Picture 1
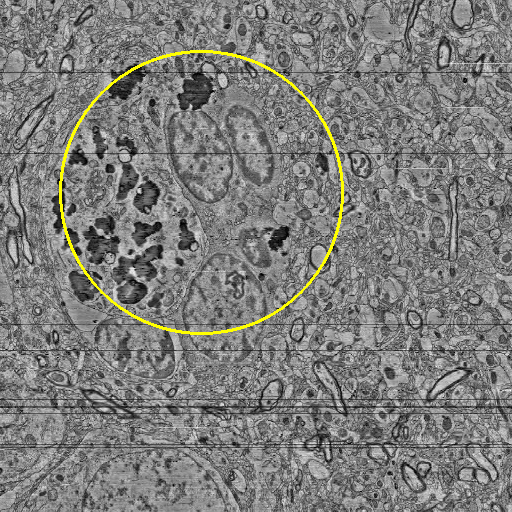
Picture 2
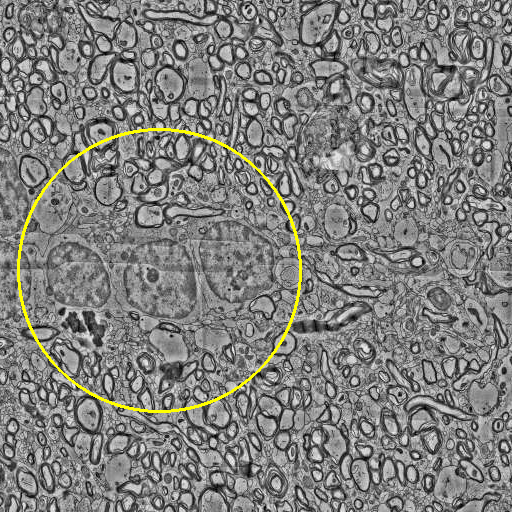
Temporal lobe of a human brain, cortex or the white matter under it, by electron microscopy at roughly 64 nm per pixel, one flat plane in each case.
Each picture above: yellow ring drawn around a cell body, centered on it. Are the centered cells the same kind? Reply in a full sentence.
Yes, the two cells are the same kind.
